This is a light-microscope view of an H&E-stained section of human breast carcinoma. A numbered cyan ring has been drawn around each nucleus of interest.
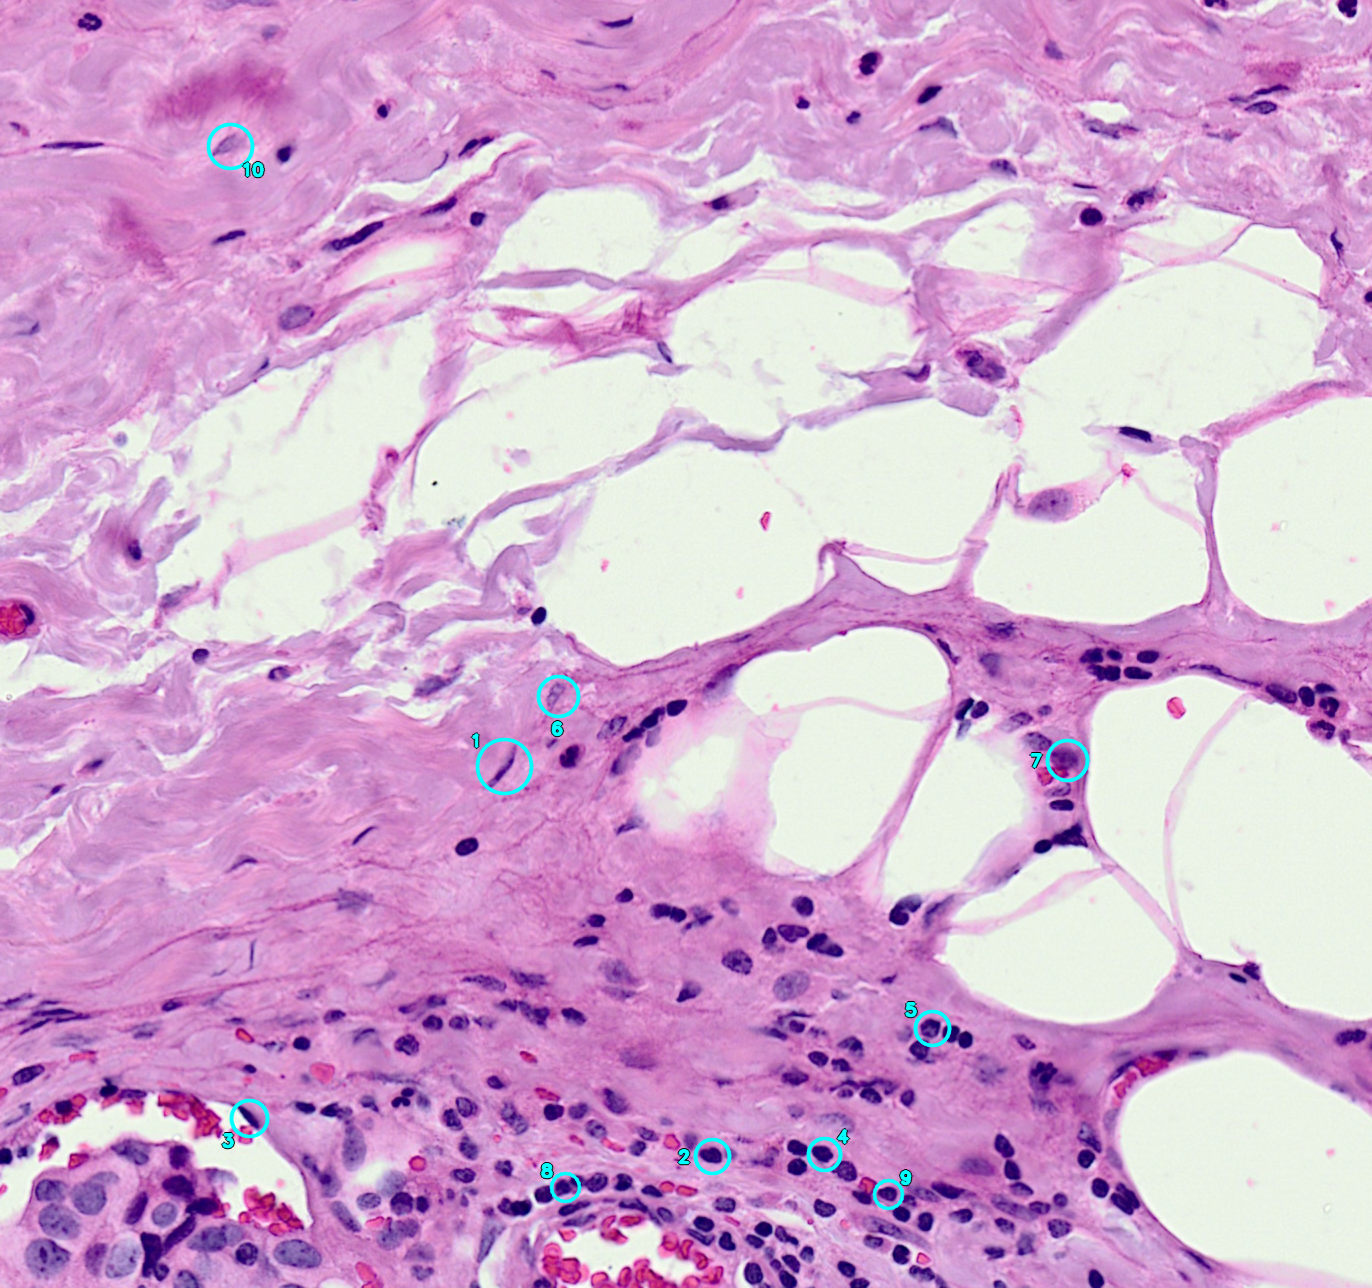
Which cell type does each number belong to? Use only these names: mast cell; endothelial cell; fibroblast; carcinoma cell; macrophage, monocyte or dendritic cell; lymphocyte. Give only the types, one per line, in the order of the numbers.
fibroblast
lymphocyte
endothelial cell
lymphocyte
lymphocyte
fibroblast
endothelial cell
lymphocyte
lymphocyte
fibroblast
